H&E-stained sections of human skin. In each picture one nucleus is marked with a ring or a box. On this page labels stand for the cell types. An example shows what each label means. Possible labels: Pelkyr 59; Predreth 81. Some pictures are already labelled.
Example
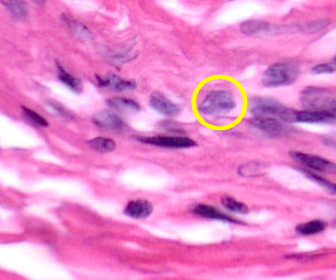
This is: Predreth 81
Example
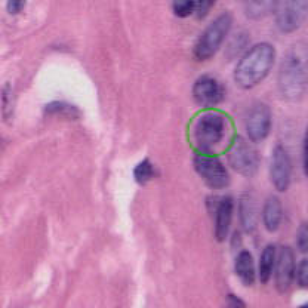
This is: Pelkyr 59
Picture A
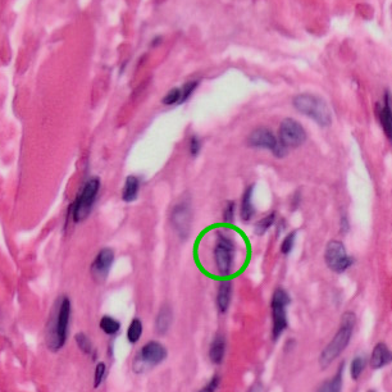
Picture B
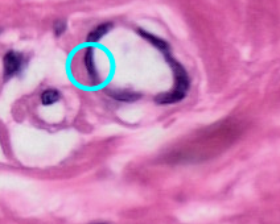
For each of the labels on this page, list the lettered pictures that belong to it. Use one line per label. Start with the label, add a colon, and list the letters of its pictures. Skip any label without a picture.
Predreth 81: A, B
